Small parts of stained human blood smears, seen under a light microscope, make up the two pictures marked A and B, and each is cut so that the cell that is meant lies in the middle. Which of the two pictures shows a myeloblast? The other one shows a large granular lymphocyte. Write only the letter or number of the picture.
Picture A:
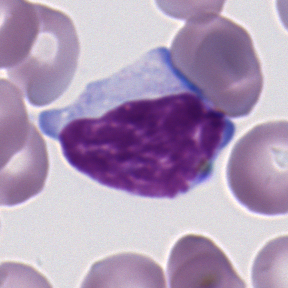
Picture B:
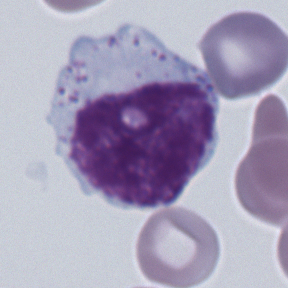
A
